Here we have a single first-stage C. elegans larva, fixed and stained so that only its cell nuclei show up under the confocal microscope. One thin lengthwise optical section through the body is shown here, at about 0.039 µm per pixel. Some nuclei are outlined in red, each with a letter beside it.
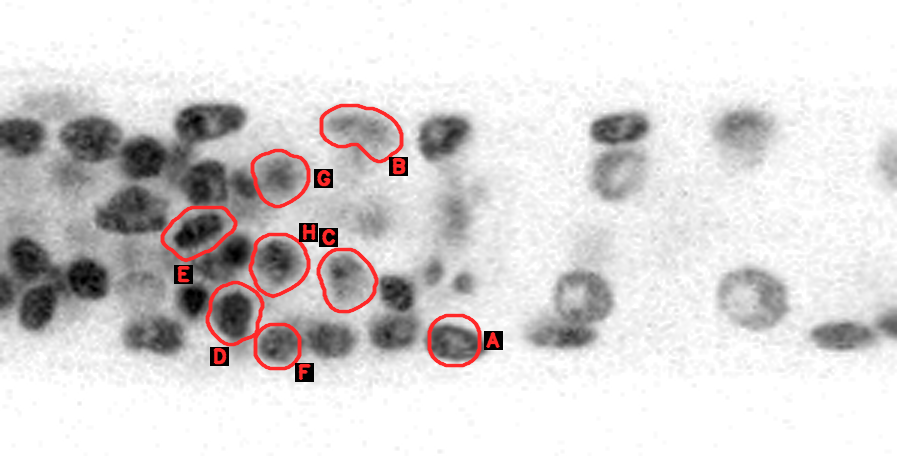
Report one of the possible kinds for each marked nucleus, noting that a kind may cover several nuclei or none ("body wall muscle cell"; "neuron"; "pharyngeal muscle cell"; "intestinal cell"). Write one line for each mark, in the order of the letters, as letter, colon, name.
A: body wall muscle cell
B: body wall muscle cell
C: pharyngeal muscle cell
D: neuron
E: pharyngeal muscle cell
F: neuron
G: neuron
H: pharyngeal muscle cell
